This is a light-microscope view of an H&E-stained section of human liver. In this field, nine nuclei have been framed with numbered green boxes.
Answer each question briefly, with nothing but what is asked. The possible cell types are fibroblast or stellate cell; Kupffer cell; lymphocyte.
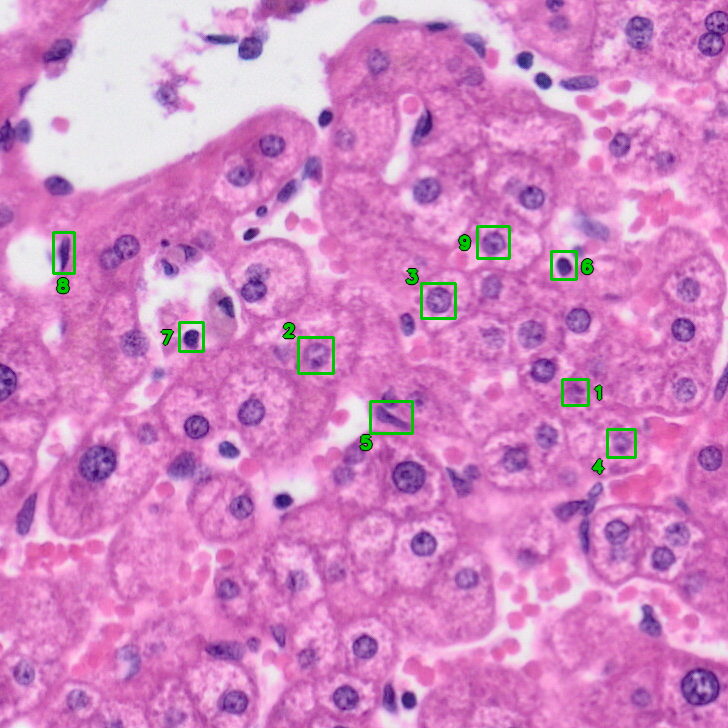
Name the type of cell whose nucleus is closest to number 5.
fibroblast or stellate cell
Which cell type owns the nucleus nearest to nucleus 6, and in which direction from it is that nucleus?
a lymphocyte; above and to the right of nucleus 6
